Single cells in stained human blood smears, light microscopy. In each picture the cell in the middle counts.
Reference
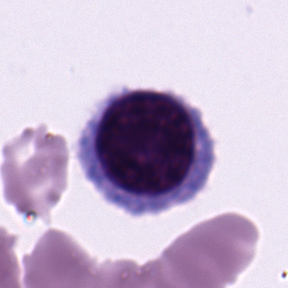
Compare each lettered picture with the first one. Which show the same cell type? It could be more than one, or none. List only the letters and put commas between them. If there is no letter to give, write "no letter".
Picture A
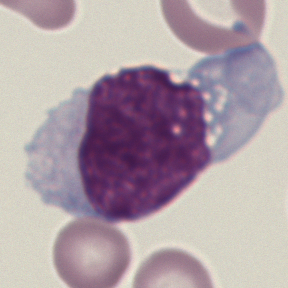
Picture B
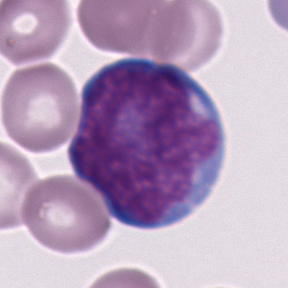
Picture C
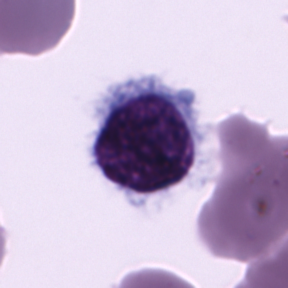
C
